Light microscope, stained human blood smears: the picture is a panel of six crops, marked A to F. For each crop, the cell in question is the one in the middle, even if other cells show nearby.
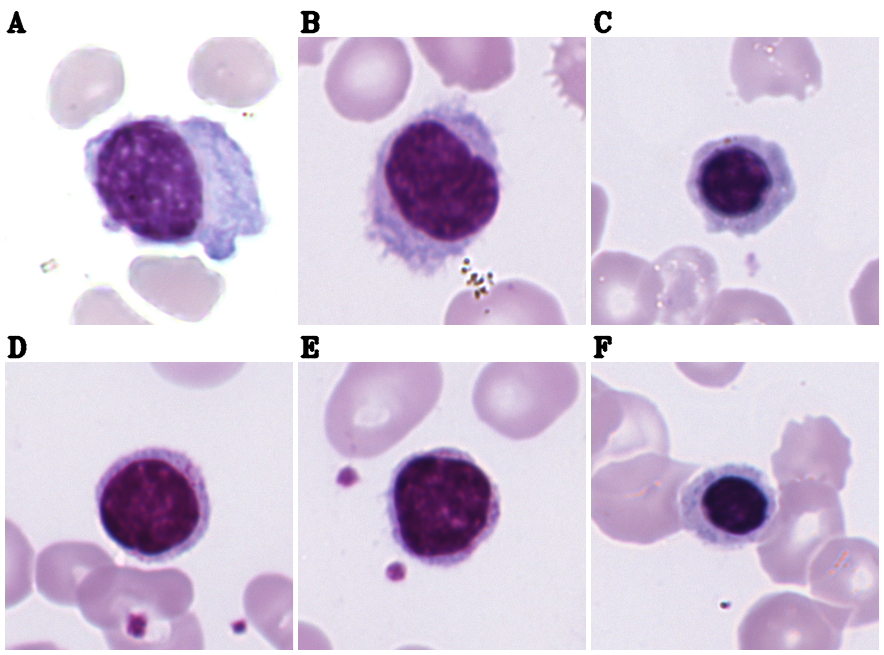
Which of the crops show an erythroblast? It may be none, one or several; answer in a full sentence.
Crops C and F hold erythroblasts in the centre of the field.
